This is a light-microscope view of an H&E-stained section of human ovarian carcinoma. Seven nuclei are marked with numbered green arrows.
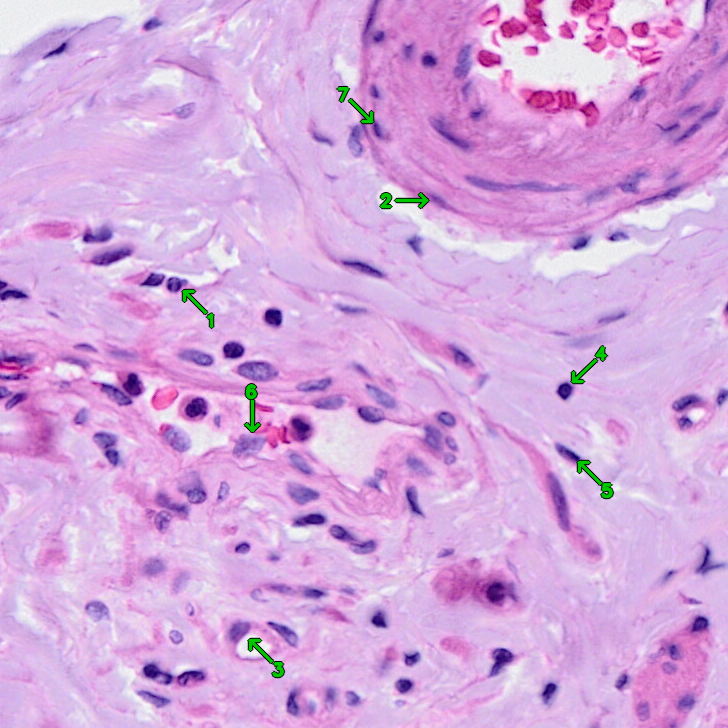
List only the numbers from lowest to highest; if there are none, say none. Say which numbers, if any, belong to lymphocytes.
1, 4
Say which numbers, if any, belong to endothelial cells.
3, 6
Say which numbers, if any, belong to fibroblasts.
5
